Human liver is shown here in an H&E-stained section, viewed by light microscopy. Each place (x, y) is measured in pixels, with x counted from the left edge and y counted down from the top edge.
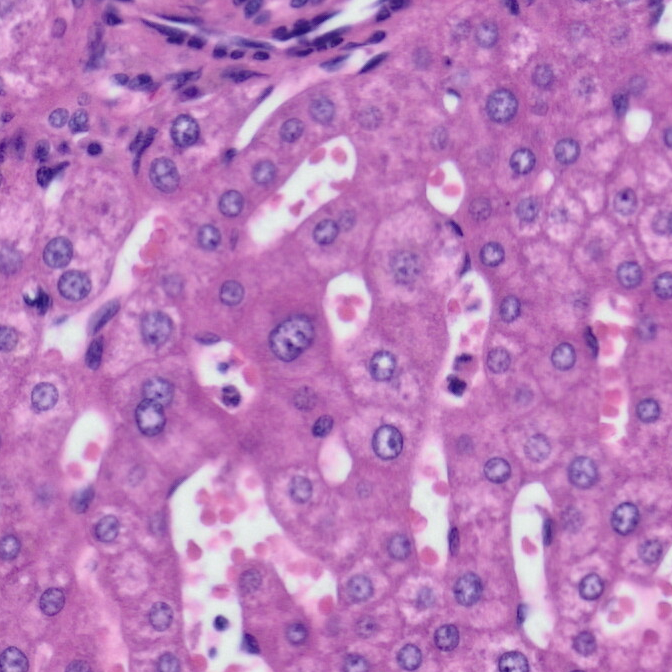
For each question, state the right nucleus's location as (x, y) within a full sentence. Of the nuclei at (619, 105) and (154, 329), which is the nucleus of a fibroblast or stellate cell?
The nucleus at (619, 105) is the one that belongs to a fibroblast or stellate cell.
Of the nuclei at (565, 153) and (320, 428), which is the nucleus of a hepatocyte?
Among the two, the nucleus at (565, 153) is the nucleus of a hepatocyte.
